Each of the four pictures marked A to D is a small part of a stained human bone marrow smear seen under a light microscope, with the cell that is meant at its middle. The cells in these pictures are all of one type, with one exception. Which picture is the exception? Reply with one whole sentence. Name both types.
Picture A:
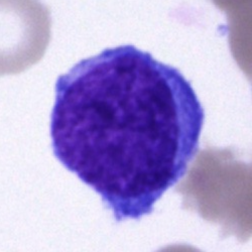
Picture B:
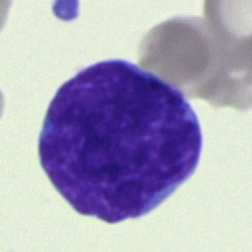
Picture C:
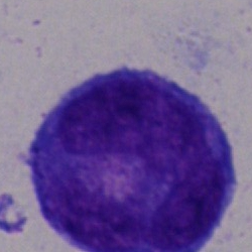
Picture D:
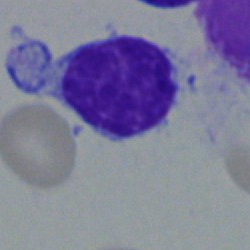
All pictures except D show blasts; picture D shows a lymphocyte.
